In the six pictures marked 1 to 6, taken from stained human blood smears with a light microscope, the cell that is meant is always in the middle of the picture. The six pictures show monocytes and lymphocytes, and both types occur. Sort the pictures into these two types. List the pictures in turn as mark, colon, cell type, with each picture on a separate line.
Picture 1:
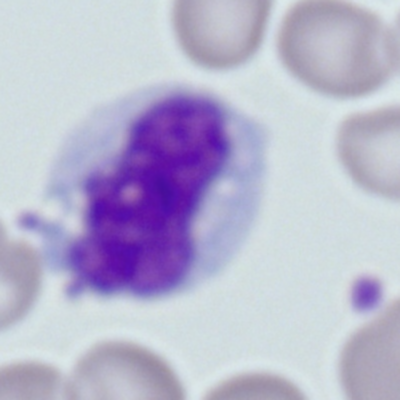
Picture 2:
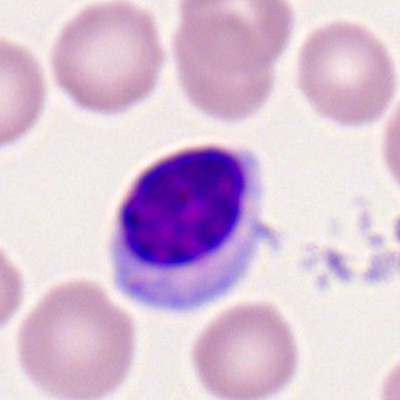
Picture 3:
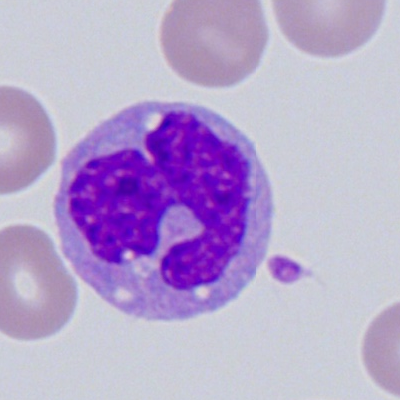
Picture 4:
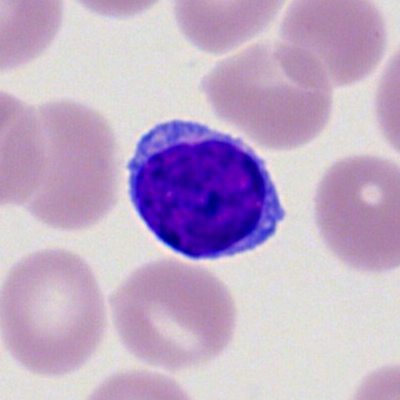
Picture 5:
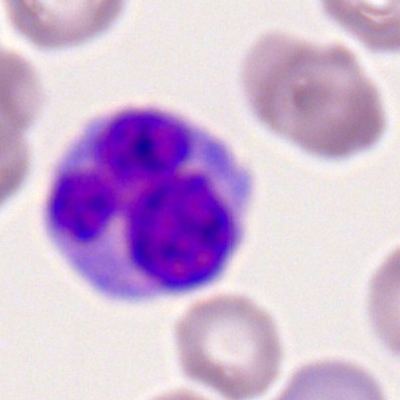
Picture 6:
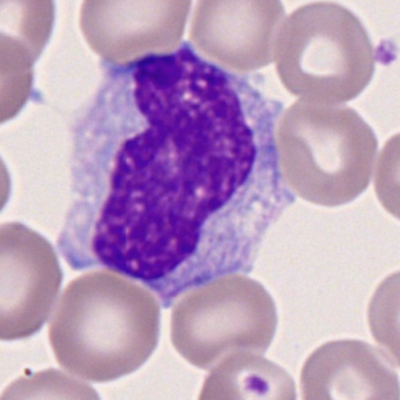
1: monocyte
2: lymphocyte
3: monocyte
4: lymphocyte
5: monocyte
6: monocyte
